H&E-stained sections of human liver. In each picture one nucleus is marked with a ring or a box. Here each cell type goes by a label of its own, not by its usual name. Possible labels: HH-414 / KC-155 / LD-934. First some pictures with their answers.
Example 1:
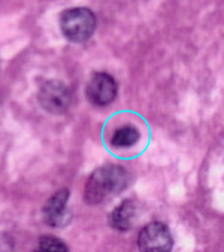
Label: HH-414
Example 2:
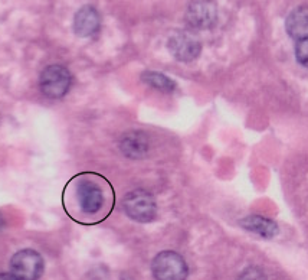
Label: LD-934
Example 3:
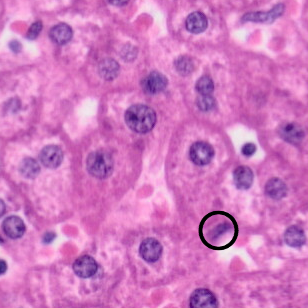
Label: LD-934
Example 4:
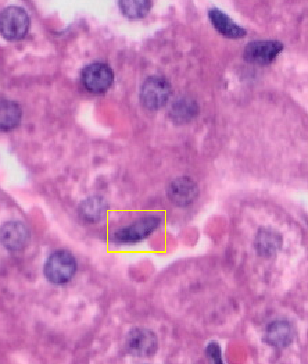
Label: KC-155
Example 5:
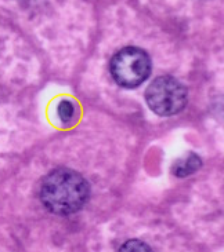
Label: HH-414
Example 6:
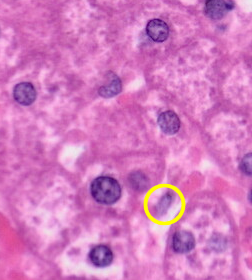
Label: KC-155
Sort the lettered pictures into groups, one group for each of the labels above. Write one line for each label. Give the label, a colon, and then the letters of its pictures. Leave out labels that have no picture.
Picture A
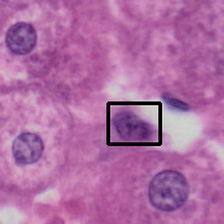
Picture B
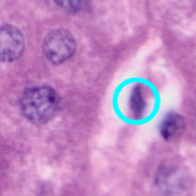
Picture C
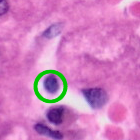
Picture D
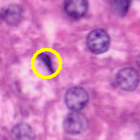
HH-414: C
KC-155: A, B
LD-934: D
